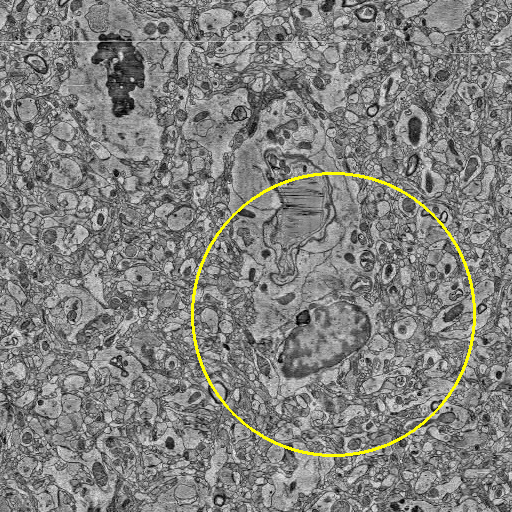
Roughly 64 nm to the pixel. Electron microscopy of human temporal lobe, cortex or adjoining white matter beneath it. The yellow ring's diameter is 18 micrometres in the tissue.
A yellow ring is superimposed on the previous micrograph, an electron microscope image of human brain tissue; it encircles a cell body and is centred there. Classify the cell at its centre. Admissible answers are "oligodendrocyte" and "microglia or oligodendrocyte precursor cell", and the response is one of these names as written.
microglia or oligodendrocyte precursor cell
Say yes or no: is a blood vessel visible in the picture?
Yes, a vessel appears in the picture.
